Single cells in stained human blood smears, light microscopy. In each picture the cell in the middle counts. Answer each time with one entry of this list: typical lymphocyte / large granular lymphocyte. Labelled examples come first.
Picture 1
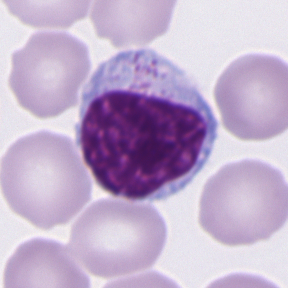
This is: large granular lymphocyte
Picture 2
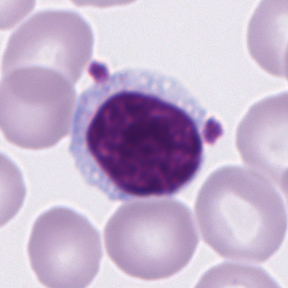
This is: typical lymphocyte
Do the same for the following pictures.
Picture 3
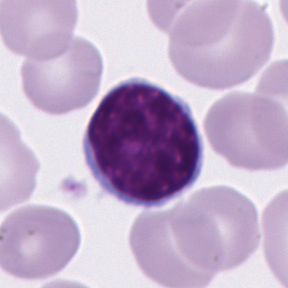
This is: typical lymphocyte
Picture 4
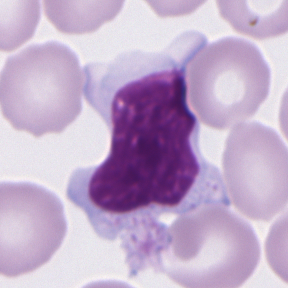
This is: large granular lymphocyte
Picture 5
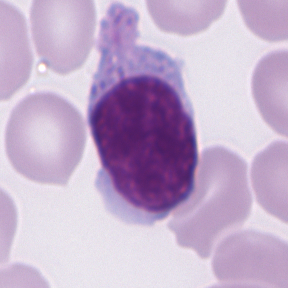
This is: large granular lymphocyte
